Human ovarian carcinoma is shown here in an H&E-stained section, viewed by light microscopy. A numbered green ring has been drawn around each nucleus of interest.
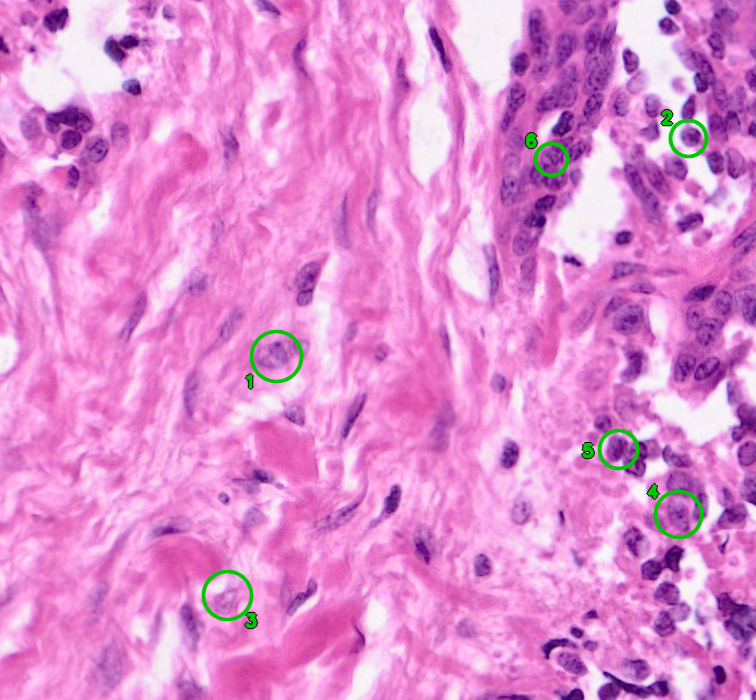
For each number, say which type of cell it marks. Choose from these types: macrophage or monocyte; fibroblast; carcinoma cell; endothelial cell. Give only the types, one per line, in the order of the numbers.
fibroblast
carcinoma cell
fibroblast
carcinoma cell
carcinoma cell
carcinoma cell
